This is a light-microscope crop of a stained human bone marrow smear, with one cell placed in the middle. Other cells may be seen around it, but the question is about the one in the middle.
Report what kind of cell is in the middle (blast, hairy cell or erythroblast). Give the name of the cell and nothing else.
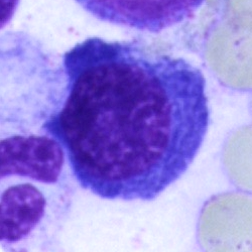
erythroblast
